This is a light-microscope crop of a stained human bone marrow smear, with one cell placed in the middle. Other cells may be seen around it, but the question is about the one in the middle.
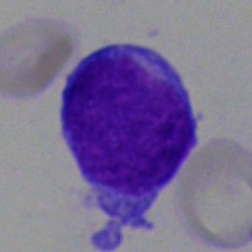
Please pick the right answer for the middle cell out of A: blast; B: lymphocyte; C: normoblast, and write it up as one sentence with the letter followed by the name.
The cell in the center of this crop is a blast, so option A is the one to pick.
